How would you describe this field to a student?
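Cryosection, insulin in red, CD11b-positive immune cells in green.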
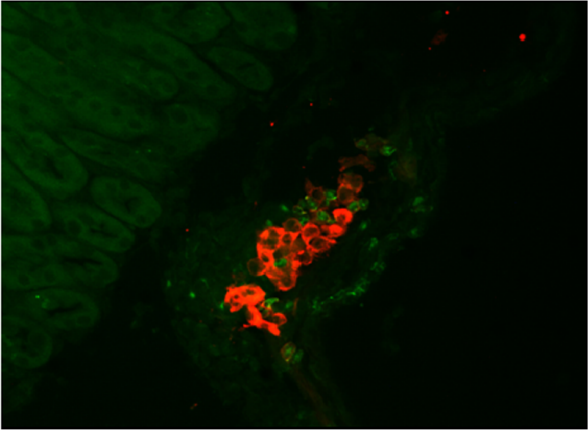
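A small cluster of rounded red cells lies in the lower centre of the field, forming two or three tight groups. A few small green cells sit at the edges of the red cluster and scattered nearby. In the upper left, faintly green rounded tubular profiles make up the neighbouring kidney tissue, while most of the remaining field is dark.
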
